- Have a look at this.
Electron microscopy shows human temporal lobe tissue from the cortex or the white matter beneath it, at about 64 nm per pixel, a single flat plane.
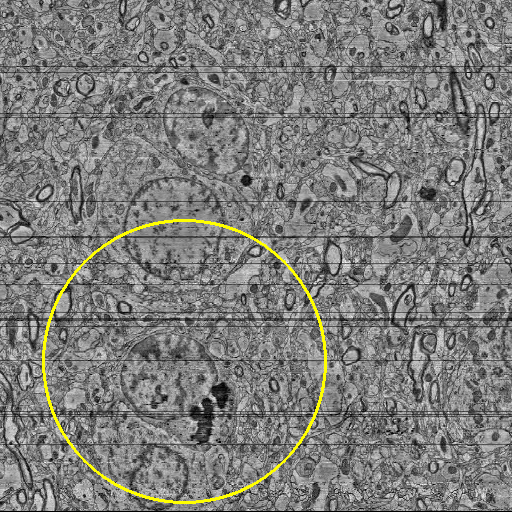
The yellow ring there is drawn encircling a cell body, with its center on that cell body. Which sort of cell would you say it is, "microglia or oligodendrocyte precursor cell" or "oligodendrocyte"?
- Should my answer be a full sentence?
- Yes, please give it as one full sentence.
For this picture, an oligodendrocyte is the cell where the yellow ring has its center.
